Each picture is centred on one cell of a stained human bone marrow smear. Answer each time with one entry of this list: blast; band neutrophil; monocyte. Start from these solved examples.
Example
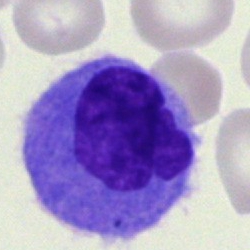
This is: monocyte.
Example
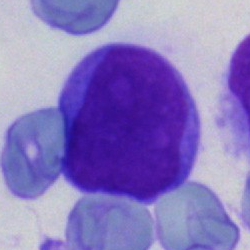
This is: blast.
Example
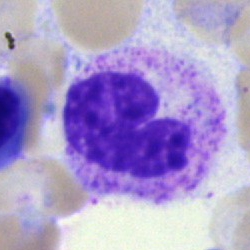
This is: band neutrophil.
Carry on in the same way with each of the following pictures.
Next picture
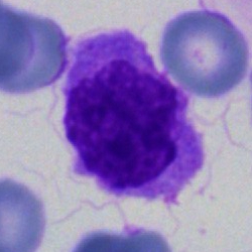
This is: monocyte.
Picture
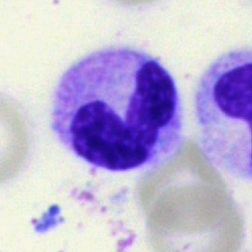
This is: band neutrophil.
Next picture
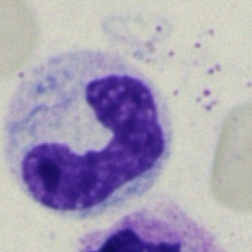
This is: band neutrophil.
